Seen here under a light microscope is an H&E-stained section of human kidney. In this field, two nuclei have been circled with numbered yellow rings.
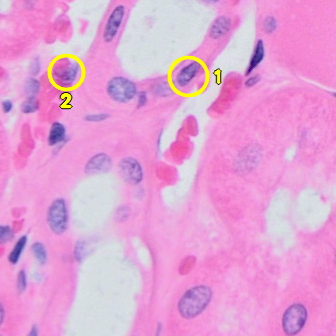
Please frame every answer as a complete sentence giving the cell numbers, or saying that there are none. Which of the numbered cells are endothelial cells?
Cell 2 stands alone among the numbered cells as an endothelial cell.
